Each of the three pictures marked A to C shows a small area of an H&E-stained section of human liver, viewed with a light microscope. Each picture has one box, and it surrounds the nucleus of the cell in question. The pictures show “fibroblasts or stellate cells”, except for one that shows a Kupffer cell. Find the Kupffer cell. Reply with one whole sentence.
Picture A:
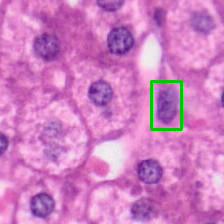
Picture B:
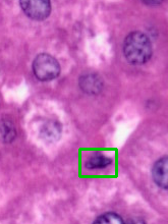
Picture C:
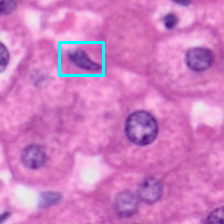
The picture with the Kupffer cell is A.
